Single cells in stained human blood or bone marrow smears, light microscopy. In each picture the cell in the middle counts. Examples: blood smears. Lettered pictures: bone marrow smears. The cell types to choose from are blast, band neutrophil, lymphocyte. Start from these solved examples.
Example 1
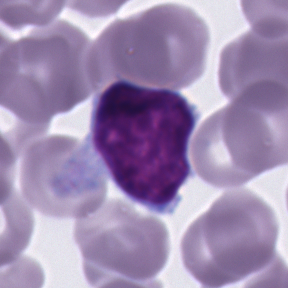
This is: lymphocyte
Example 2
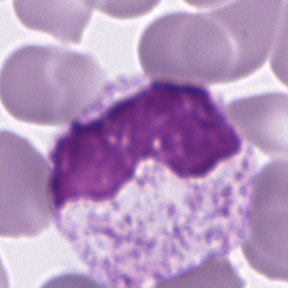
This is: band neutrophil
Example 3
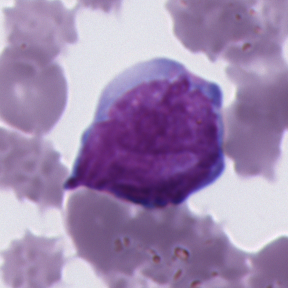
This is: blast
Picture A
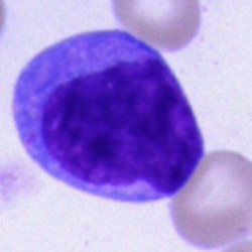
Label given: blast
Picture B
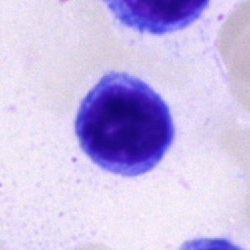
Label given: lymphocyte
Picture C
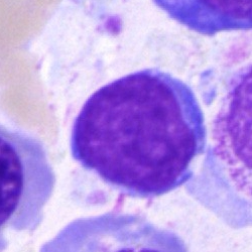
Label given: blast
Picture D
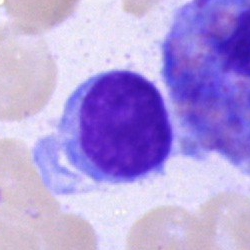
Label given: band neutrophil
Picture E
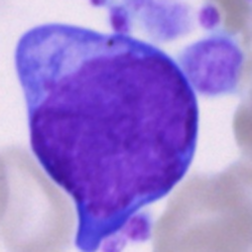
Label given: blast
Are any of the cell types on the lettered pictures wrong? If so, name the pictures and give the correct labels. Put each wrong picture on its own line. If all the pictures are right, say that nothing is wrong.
C is labelled blast; correct label: lymphocyte
D is labelled band neutrophil; correct label: lymphocyte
